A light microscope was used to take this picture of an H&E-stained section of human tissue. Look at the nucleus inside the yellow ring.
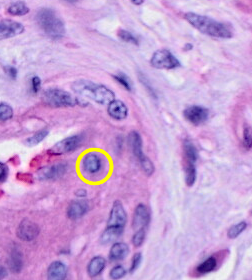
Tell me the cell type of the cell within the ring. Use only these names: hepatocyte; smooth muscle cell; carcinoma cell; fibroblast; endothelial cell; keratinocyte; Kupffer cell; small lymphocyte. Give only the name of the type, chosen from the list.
smooth muscle cell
